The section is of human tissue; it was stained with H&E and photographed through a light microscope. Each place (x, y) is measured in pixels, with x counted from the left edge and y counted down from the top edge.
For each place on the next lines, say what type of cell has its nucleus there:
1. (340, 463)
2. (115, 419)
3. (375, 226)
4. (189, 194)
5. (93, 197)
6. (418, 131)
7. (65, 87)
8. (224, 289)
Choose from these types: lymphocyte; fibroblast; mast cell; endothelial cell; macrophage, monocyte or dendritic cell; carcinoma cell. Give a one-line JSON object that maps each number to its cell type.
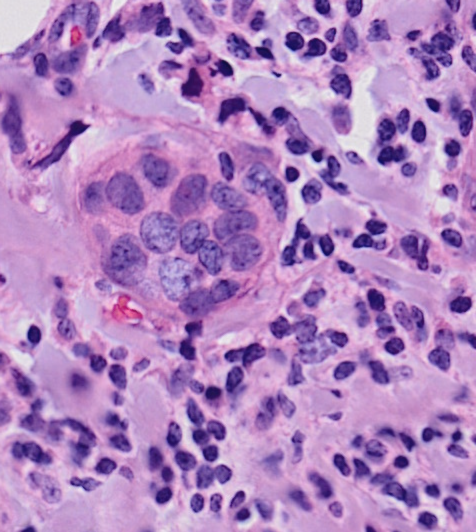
{"1": "lymphocyte", "2": "lymphocyte", "3": "lymphocyte", "4": "carcinoma cell", "5": "carcinoma cell", "6": "lymphocyte", "7": "mast cell", "8": "carcinoma cell"}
